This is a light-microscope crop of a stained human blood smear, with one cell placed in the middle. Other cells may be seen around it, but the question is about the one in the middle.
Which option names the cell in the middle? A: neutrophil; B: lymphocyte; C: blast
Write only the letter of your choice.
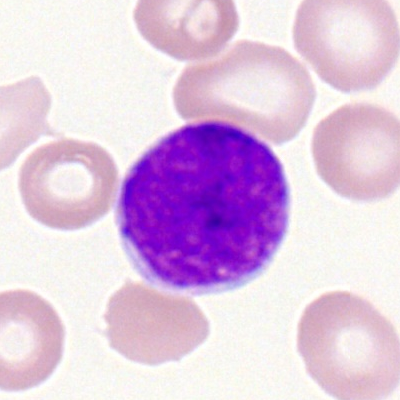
C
